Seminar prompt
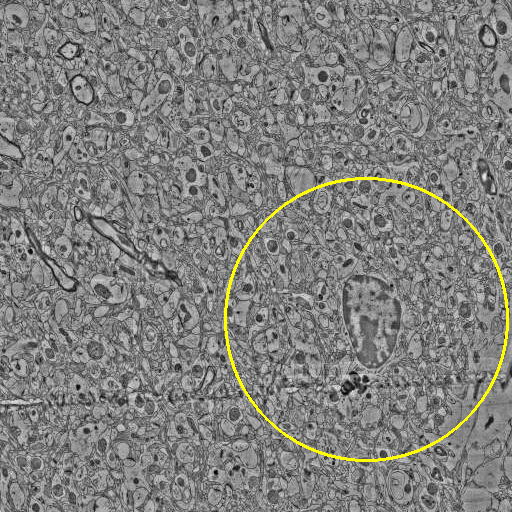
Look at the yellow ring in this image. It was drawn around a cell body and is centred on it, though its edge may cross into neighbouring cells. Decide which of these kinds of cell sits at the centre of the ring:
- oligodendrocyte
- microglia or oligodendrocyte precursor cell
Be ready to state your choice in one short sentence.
The kind of cell at the ring's centre is a microglial cell or oligodendrocyte precursor cell.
